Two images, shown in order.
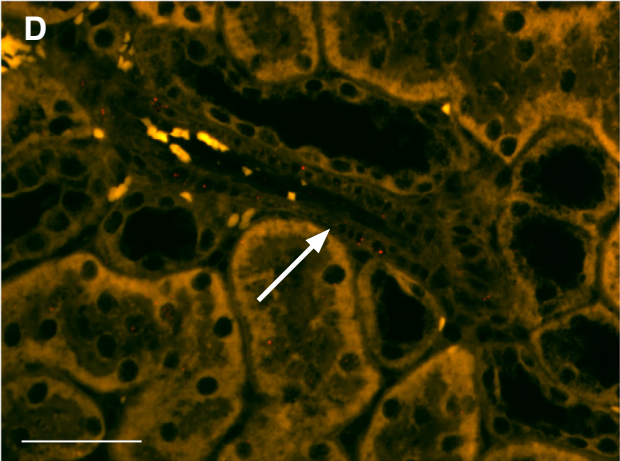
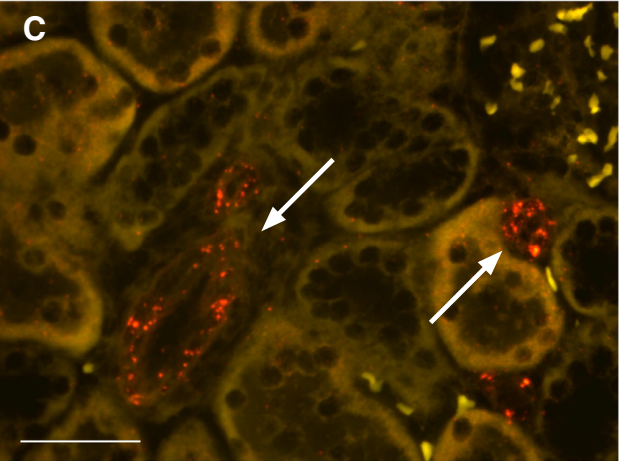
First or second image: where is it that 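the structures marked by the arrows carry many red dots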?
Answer: the second image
